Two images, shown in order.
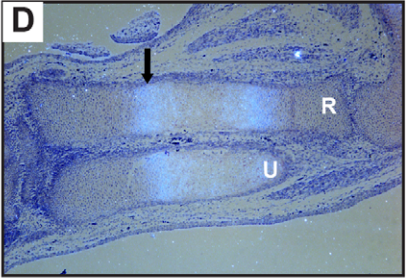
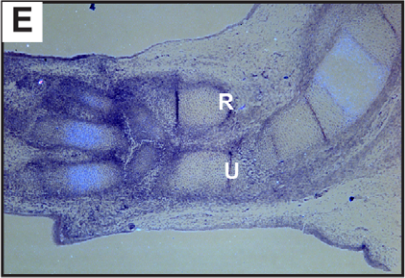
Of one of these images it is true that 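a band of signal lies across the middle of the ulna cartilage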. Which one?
The first image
